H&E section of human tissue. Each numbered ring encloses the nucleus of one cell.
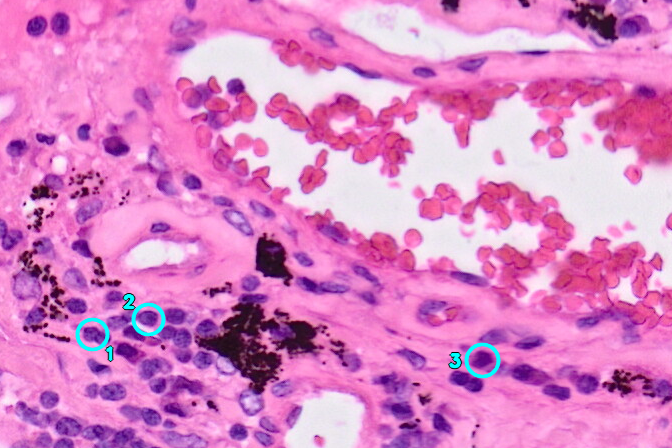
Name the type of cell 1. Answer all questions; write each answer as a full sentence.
The correct label for cell 1 is a lymphocyte.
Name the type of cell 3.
The nucleus with number 3 is that of a plasma cell.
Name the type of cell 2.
The cell given label 2 is a lymphocyte.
